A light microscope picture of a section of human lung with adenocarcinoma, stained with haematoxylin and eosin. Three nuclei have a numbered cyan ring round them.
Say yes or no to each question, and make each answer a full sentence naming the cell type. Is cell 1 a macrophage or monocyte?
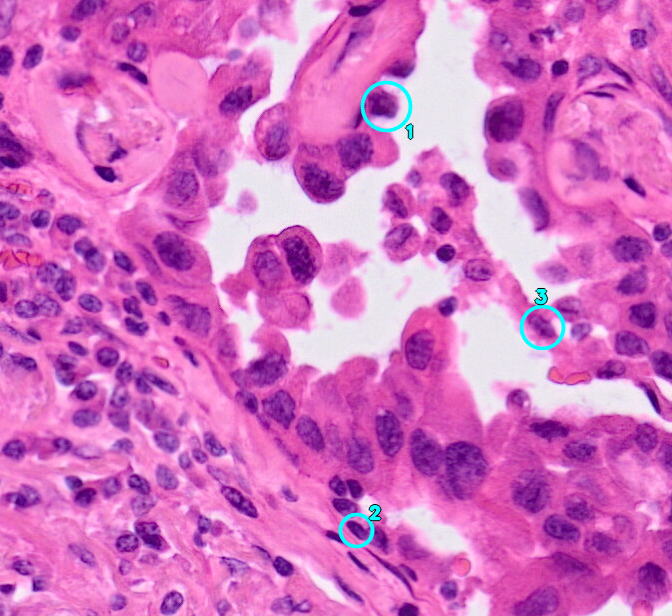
No, cell 1 is not a macrophage or monocyte. It is a carcinoma cell.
